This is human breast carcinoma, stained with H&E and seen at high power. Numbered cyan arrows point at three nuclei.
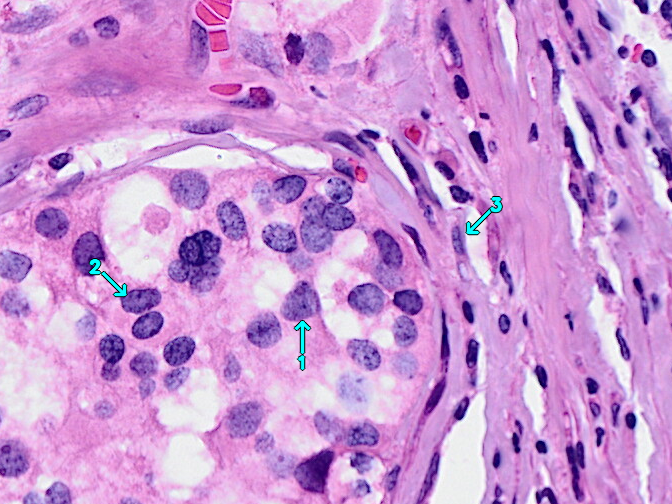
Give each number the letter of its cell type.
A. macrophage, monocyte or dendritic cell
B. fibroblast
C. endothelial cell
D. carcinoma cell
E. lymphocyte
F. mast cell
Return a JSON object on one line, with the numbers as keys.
{"1": "D", "2": "D", "3": "B"}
